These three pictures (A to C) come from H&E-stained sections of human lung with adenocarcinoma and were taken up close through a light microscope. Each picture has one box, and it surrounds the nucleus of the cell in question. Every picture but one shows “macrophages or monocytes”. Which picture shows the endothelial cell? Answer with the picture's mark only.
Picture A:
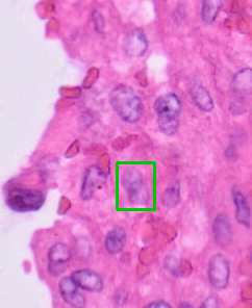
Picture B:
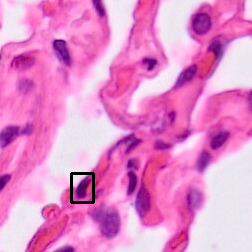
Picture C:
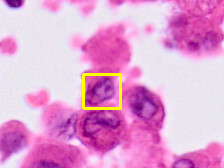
B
